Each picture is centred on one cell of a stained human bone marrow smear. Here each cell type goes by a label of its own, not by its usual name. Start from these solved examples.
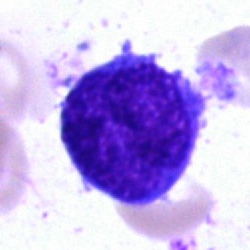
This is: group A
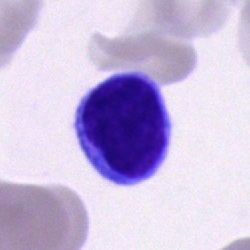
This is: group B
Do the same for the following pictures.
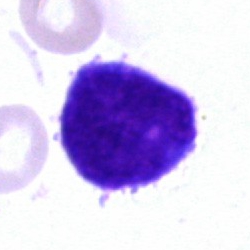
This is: group A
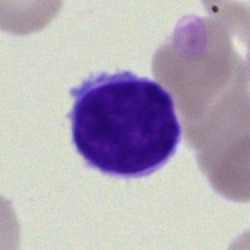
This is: group B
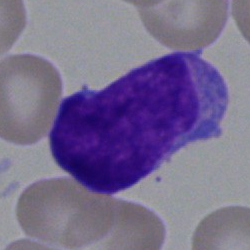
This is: group A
